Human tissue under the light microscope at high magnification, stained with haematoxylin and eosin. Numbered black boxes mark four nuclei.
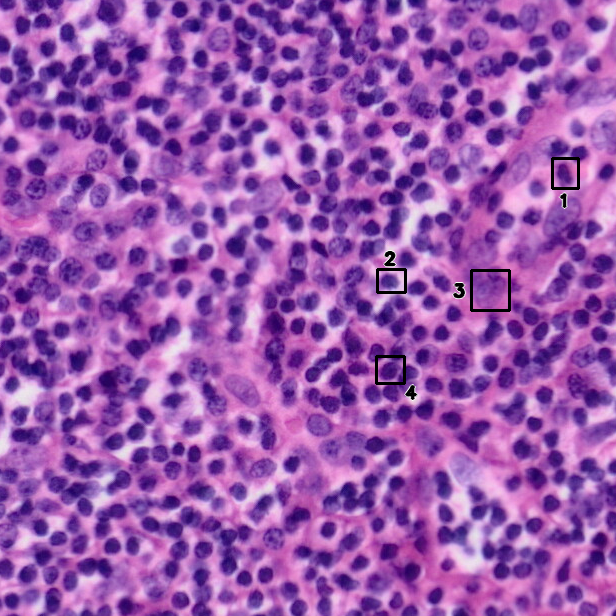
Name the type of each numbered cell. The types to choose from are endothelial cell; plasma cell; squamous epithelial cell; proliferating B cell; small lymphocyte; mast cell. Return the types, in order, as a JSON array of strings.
["endothelial cell", "small lymphocyte", "endothelial cell", "small lymphocyte"]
